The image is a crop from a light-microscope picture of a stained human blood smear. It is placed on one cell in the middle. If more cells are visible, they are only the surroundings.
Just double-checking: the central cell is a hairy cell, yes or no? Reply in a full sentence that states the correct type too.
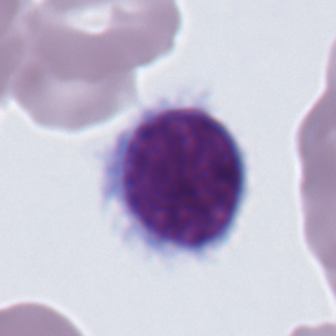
Yes, the cell found in the middle is a hairy cell.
